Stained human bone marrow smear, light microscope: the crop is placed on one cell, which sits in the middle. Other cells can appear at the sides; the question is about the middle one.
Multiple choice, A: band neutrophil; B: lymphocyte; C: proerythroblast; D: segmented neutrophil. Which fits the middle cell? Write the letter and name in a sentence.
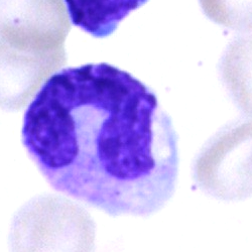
Option A is correct, and the cell in the centre is a band neutrophil.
